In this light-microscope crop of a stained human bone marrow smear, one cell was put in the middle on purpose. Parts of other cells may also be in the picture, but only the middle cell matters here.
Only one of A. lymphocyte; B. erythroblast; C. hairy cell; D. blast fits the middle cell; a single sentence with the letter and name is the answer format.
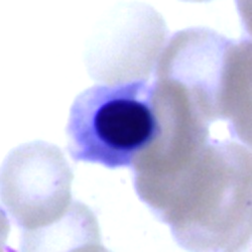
Since the cell in the middle is an erythroblast, option B is correct.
